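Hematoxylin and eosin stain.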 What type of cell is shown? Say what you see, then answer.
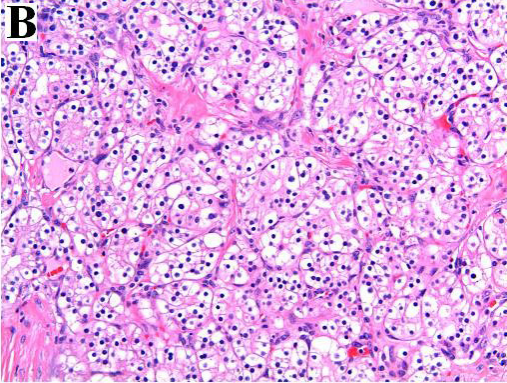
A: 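Cells have many-sided outlines with sharp pink borders. The cytoplasm is pale and almost empty. Nuclei are small, dark and round, lying in the middle of the cells. The cells look alike throughout the field. On this evidence: polygonal cells with clear cytoplasm.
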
